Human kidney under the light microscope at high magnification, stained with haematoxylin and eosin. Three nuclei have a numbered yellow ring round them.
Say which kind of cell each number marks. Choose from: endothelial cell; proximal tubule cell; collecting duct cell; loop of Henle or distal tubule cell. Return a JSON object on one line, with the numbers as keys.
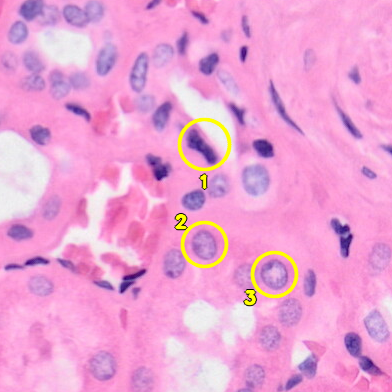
{"1": "collecting duct cell", "2": "proximal tubule cell", "3": "proximal tubule cell"}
